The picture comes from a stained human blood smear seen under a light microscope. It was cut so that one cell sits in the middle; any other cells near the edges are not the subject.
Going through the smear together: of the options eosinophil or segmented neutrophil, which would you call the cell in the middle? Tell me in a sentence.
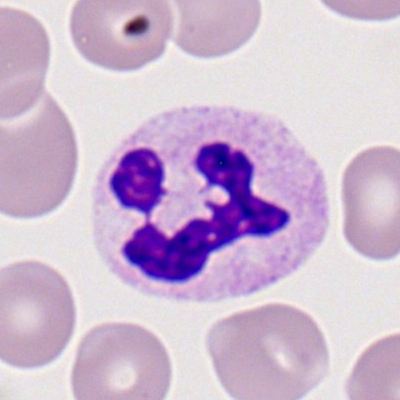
Of the cells in this crop, the central one is a segmented neutrophil.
